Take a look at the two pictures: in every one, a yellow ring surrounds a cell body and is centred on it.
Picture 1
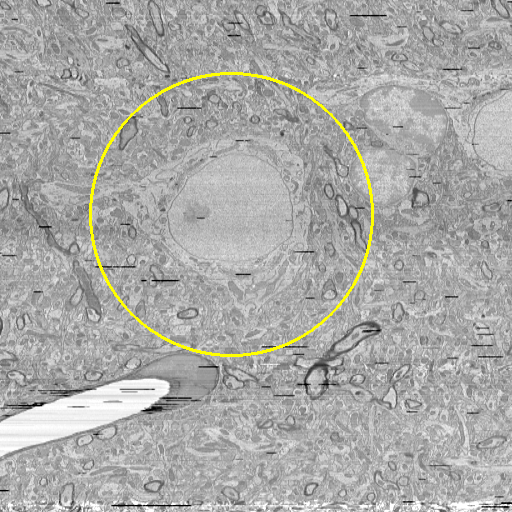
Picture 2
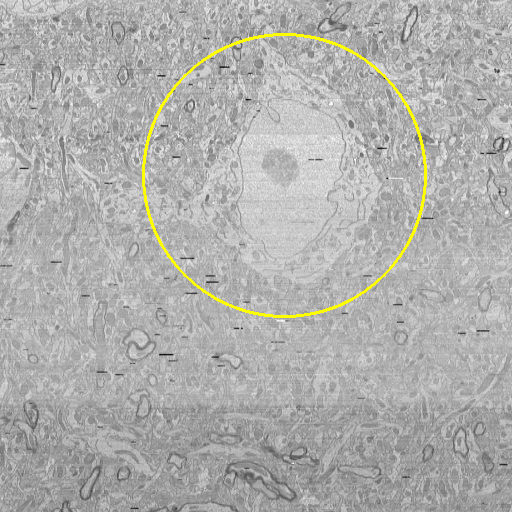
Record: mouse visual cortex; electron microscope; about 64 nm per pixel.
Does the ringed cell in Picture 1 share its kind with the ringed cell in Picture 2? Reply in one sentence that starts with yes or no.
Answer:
Yes, the two centred cells, one per picture, are of one kind.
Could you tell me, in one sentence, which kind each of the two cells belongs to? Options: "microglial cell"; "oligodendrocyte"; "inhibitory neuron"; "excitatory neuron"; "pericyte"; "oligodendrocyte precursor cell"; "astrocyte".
In both pictures the ring is centred on an excitatory neuron.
